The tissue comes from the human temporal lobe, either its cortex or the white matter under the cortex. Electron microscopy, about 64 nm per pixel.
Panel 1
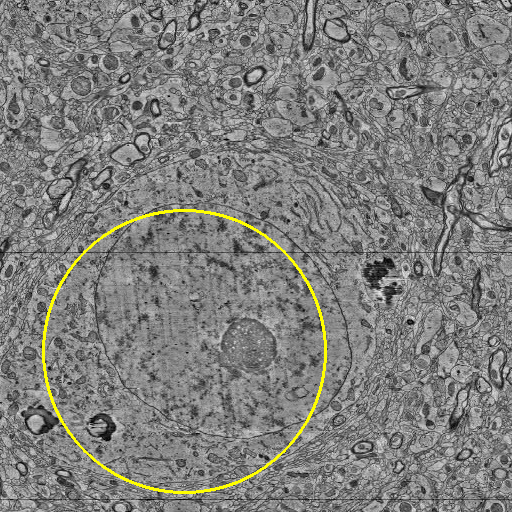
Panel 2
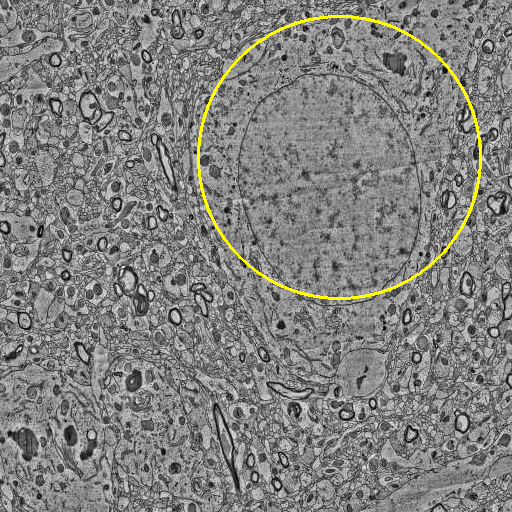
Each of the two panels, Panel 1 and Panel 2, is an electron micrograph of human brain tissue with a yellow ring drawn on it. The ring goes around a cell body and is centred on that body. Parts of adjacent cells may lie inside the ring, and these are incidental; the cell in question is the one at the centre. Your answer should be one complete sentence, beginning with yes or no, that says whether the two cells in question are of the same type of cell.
Yes, the two cells are of the same type.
